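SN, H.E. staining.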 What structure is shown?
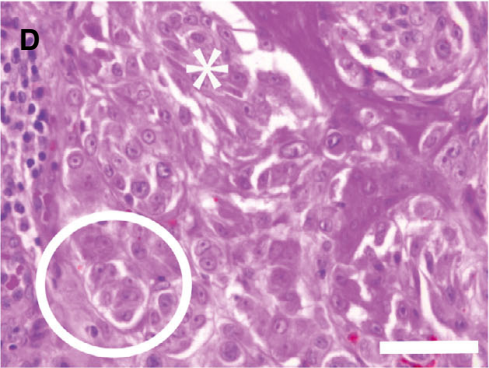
Retraction clefts.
